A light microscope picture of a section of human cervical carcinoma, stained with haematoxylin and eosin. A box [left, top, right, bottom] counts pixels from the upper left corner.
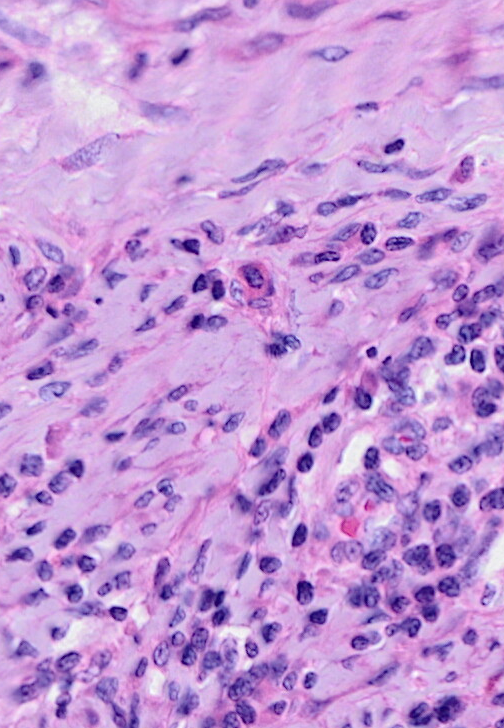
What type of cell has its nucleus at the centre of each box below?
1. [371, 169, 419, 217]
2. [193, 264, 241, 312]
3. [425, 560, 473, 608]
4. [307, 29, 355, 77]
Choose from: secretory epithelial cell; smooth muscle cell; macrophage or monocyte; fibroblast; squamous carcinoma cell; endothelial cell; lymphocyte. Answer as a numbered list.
1. fibroblast
2. lymphocyte
3. lymphocyte
4. fibroblast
